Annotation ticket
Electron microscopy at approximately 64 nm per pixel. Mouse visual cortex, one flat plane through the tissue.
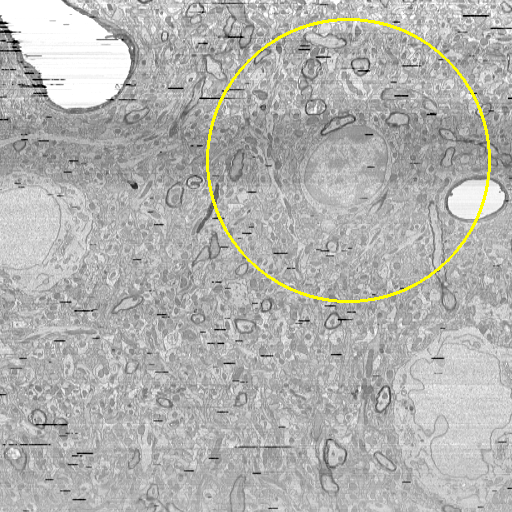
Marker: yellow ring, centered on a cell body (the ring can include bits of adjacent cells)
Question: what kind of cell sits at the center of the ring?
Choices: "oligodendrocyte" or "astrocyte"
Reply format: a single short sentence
The ring is centered on an oligodendrocyte.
